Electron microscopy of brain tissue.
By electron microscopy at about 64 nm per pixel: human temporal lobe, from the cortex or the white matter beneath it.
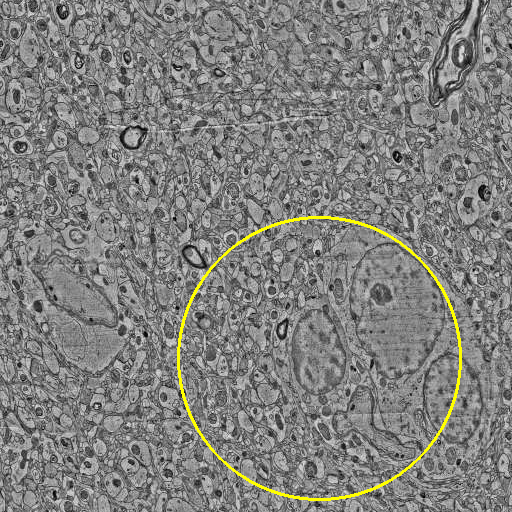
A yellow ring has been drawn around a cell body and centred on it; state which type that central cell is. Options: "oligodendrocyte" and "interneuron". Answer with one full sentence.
The cell at the middle of the yellow ring is an oligodendrocyte in this picture.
